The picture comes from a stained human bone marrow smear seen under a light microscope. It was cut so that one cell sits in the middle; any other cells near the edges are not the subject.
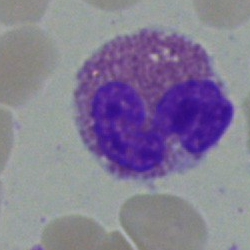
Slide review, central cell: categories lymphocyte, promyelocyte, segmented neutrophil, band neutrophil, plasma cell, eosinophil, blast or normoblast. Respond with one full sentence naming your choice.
The cell around which this crop is centred is an eosinophil.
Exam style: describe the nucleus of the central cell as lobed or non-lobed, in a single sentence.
The key feature is a nucleus with multiple lobes.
